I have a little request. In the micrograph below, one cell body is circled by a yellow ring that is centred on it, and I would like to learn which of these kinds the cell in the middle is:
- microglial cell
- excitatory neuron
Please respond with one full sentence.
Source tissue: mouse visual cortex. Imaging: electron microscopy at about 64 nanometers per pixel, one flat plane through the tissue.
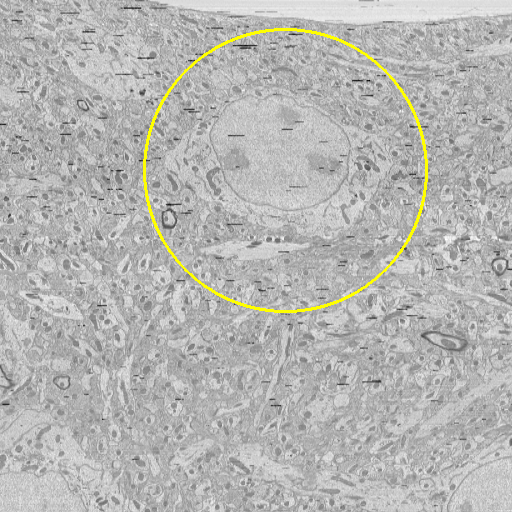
The cell sitting in the middle of the yellow ring in the micrograph is an excitatory neuron.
